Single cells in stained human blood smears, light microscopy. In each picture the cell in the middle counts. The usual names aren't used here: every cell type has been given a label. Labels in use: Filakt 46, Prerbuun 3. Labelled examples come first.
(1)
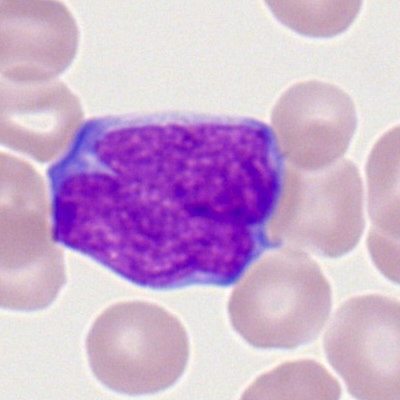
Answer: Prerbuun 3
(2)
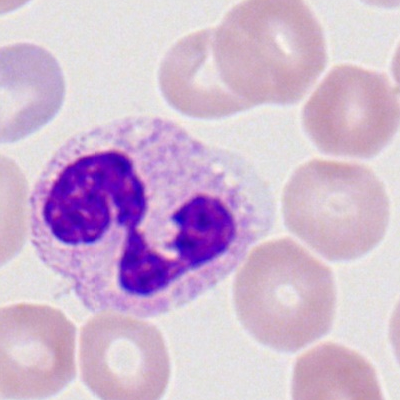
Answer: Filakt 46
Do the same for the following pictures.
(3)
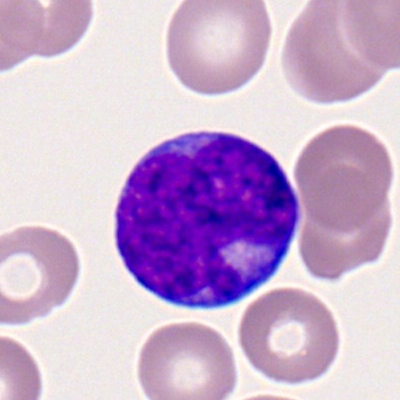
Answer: Prerbuun 3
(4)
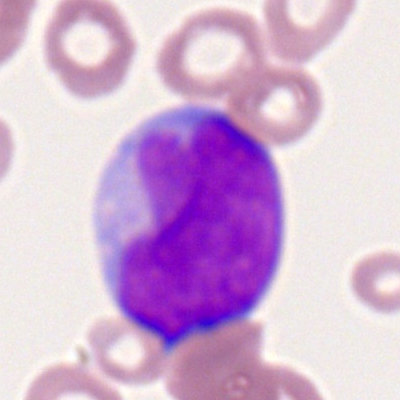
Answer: Prerbuun 3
